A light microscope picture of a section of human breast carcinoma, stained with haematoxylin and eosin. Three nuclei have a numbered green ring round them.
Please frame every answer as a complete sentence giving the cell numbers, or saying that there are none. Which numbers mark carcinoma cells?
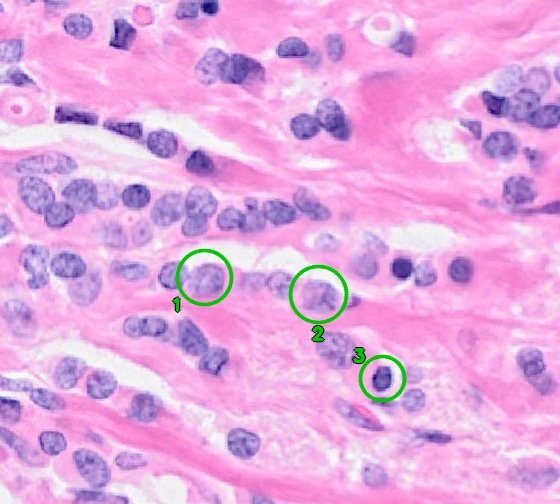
The cells 1 and 2 in this section are carcinoma cells.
